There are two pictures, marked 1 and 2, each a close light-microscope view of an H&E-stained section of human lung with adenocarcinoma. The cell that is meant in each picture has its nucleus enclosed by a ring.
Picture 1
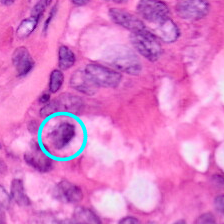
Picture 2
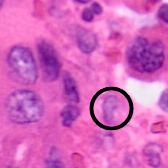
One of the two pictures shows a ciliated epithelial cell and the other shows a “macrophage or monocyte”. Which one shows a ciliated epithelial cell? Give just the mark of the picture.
1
